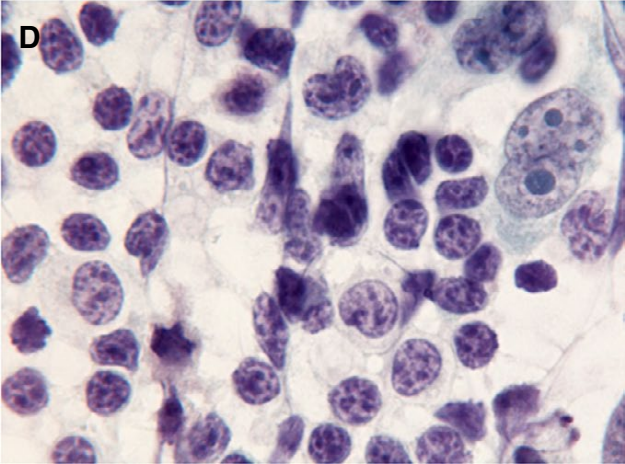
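Lymphoid cells with a few large atypical cells, loosely dispersed in a pale background. Most cells have round to irregular nuclei with coarse, granular dark chromatin and little cytoplasm. Several nuclei are crushed or smeared into dark elongated forms in the centre. At upper right lies a large cell with two pale nuclear lobes, each with a large, distinct, round nucleolus. Nuclear size varies markedly across the field.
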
